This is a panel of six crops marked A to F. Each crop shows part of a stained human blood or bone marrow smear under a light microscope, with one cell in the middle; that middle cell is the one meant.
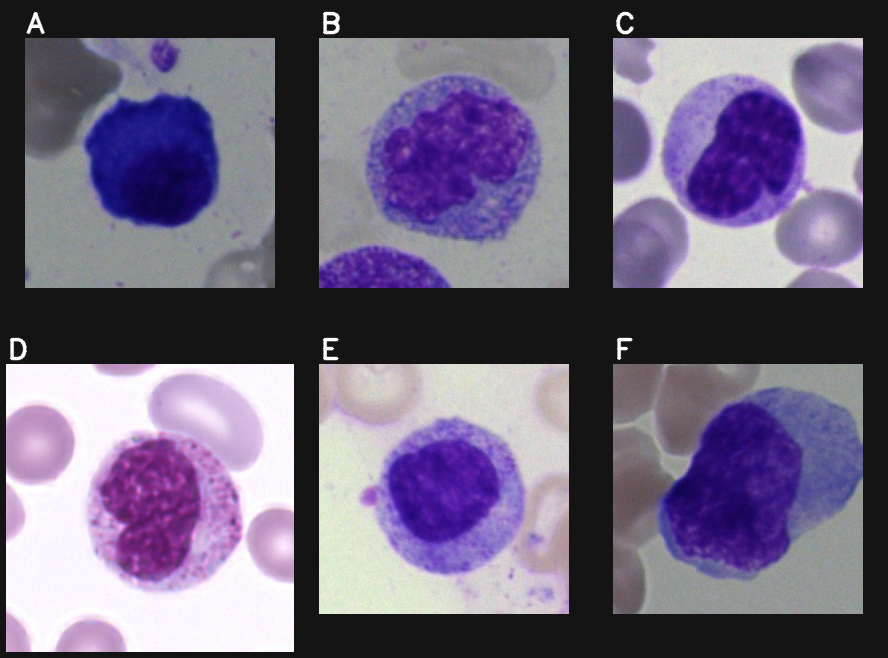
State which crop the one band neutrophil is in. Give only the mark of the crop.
D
